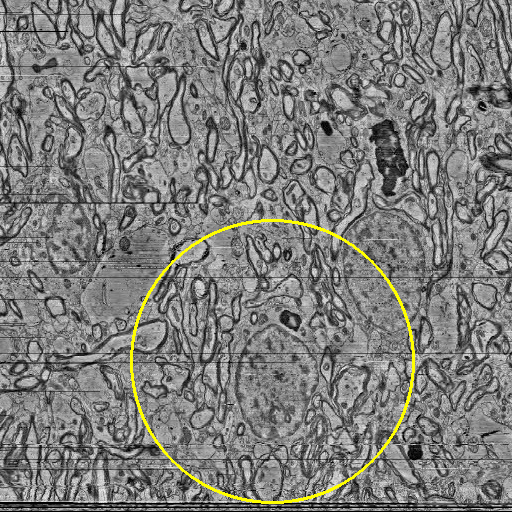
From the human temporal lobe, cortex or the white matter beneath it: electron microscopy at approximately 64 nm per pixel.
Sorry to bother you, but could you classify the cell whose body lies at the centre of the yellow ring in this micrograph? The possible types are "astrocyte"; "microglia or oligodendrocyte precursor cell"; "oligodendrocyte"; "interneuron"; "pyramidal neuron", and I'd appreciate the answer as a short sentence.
The ringed cell body is that of an oligodendrocyte.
